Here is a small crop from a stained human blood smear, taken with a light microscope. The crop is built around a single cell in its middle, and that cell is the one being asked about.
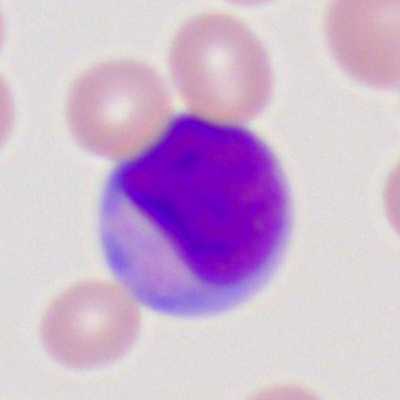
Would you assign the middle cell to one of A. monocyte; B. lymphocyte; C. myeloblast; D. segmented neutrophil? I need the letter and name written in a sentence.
As the central cell is a myeloblast, option C is correct.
